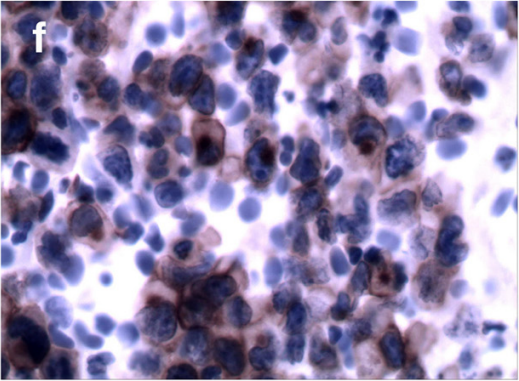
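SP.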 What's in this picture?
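A loose population of atypical tumor cells lies among smaller round cells on a pale background. Many of the larger cells have irregular, folded, dark blue nuclei and a moderate amount of cytoplasm, and these show strong brown staining around the membrane and in the cytoplasm, some with a dot-like accent near the nucleus. Interspersed small cells with dense round nuclei remain unstained and blue. Stained cells cluster in groups, especially towards the lower left, while the spaces between cells are clear, suggesting a discohesive infiltrate.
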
